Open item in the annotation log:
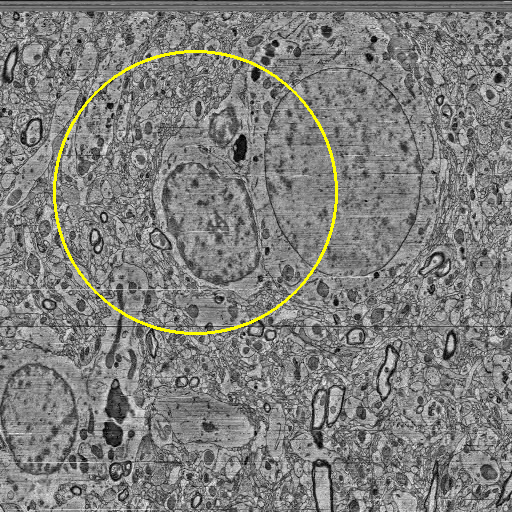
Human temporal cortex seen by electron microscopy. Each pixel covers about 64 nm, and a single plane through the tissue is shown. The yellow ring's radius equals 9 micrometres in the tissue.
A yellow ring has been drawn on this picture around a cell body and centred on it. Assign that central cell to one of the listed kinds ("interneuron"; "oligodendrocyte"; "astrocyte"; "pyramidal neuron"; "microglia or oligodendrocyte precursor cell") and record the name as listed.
microglia or oligodendrocyte precursor cell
